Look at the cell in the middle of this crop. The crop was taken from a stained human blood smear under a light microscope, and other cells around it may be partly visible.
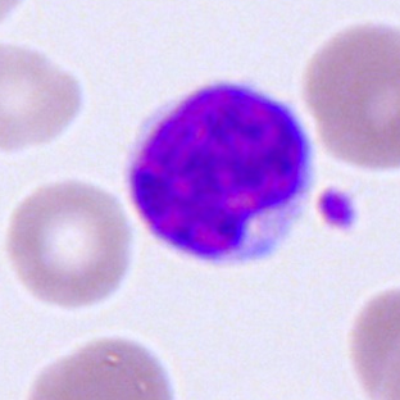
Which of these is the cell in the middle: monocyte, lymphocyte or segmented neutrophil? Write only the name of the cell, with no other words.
lymphocyte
